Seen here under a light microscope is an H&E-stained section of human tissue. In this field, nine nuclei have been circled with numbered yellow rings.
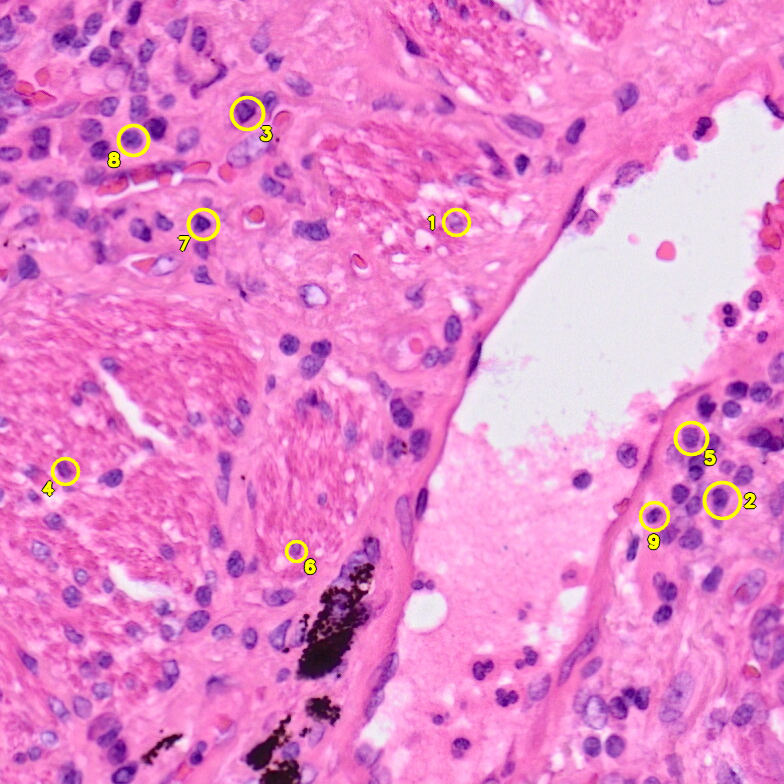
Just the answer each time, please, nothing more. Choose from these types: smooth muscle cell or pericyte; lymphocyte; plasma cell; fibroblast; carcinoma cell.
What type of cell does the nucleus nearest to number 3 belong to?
fibroblast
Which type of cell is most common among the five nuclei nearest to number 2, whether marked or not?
lymphocyte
